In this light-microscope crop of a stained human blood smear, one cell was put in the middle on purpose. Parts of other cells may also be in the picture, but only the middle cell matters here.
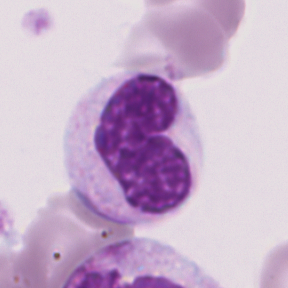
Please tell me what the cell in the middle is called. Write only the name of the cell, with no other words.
band neutrophil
